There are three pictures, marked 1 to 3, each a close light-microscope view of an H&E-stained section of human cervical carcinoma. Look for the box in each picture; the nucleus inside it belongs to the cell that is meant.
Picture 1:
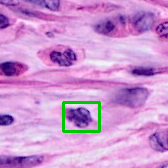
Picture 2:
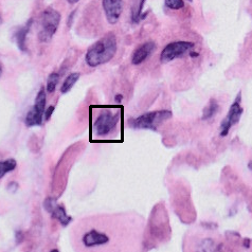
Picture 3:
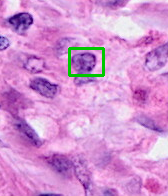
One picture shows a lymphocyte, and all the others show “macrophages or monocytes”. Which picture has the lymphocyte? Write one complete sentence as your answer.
The cell in picture 1 is the lymphocyte.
